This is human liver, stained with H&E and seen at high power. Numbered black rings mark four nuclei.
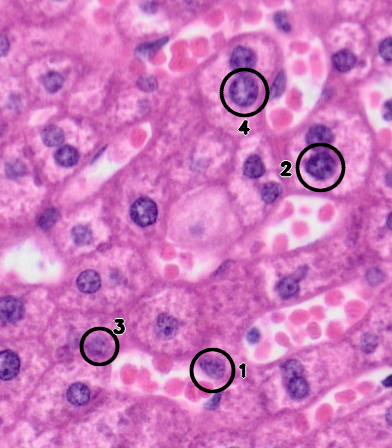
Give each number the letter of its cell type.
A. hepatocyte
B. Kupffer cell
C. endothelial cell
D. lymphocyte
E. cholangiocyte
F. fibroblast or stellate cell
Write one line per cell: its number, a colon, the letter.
1: C
2: A
3: A
4: A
